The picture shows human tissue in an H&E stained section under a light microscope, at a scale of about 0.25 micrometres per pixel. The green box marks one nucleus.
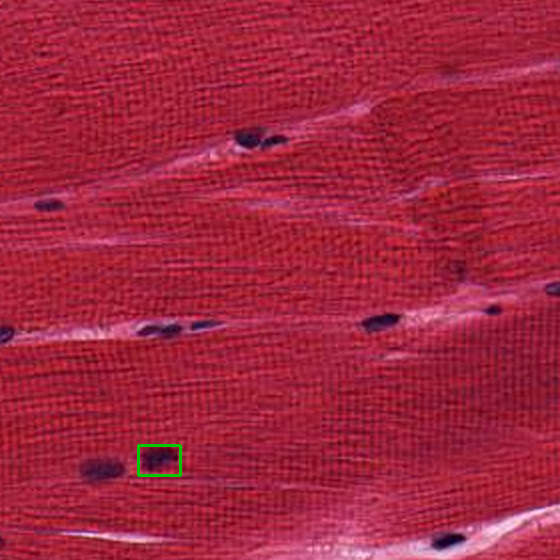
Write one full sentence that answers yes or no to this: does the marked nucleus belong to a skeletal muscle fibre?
Yes, in this image it is a skeletal muscle fibre that contains the marked nucleus.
